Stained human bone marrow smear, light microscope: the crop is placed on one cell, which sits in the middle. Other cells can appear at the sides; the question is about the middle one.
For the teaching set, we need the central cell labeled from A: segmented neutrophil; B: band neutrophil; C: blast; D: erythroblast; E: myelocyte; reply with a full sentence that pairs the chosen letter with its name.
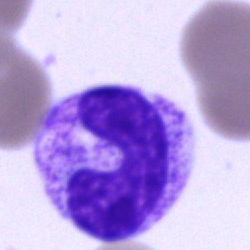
For this crop, option B is right, the centered cell being a band neutrophil.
